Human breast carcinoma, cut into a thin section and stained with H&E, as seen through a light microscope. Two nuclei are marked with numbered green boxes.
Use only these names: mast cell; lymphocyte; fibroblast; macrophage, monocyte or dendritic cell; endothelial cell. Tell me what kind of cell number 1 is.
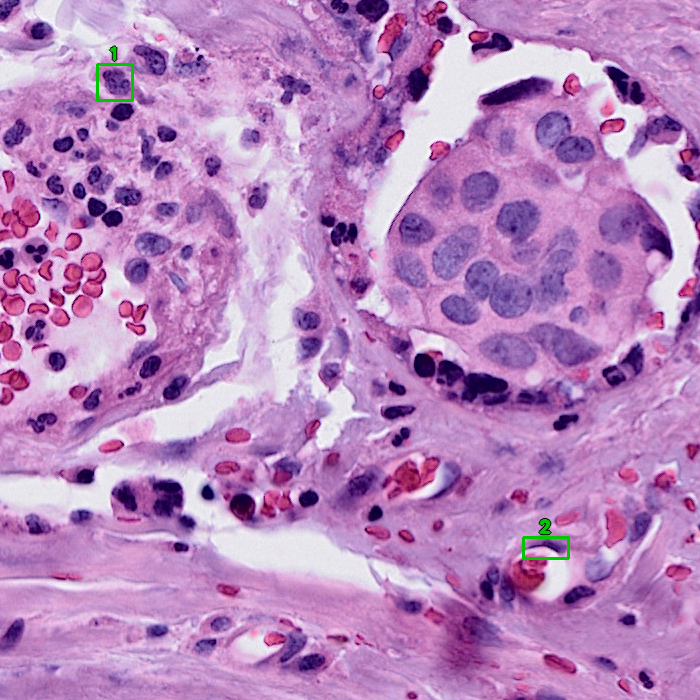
macrophage, monocyte or dendritic cell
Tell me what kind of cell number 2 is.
endothelial cell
